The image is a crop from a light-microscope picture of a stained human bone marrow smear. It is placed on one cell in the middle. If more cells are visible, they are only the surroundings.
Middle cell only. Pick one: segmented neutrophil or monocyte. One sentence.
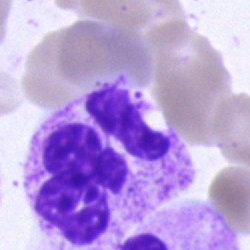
To answer, the cell in the center of the crop is a segmented neutrophil.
